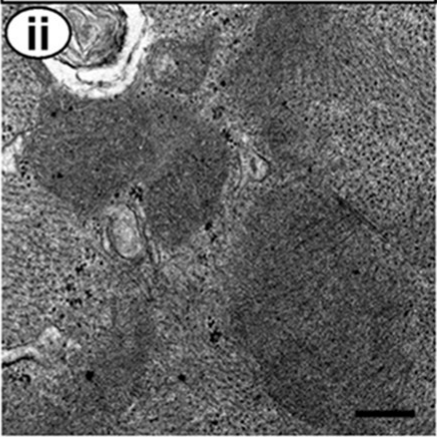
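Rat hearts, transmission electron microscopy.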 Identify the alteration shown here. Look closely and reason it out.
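The large organelles are dark and blurred, with indistinct internal folds. Their outlines are poorly defined.
Severe mitochondria damage.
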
